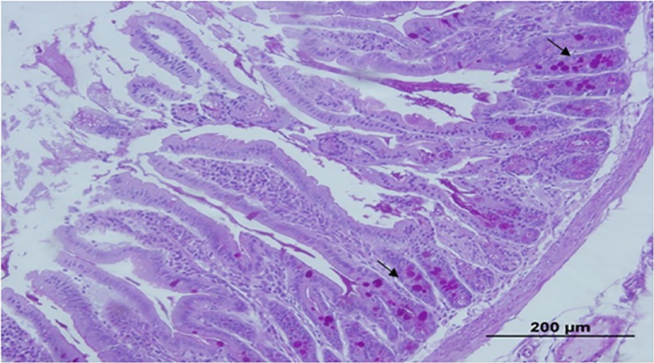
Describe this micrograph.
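This section of small intestinal mucosa shows finger-like villi lined by a single layer of tall columnar epithelial cells. Scattered among the columnar cells are goblet cells, rounded and filled with bright magenta material, several of them gathered near the bases of the villi. The cores of the villi contain loose connective tissue with many small, densely stained nuclei. A thin band of pale pink smooth muscle runs along the outer edge of the section on the right. The rest of the tissue stains in shades of pale purple, with epithelial nuclei forming a row near the bases of the cells.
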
